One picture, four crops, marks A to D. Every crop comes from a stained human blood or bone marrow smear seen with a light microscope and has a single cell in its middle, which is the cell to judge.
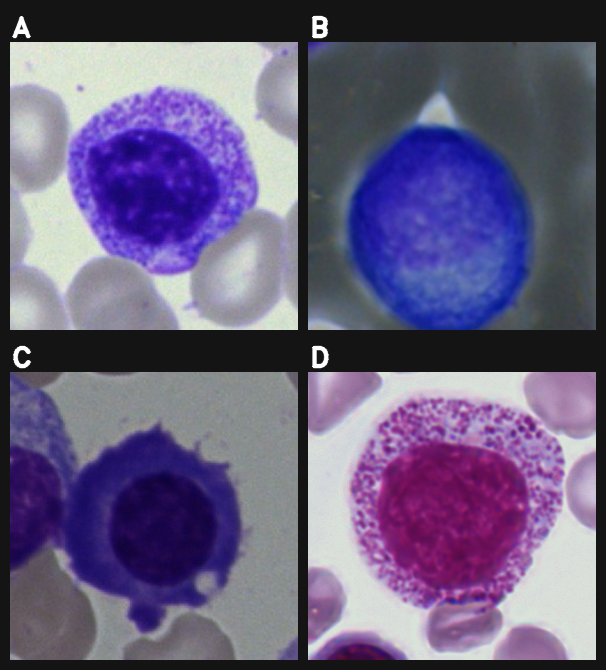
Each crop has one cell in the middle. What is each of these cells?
A: myelocyte
B: plasma cell
C: plasma cell
D: myelocyte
